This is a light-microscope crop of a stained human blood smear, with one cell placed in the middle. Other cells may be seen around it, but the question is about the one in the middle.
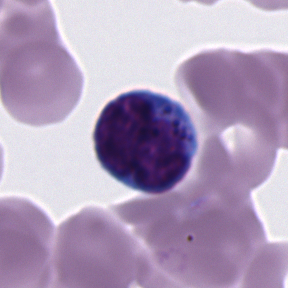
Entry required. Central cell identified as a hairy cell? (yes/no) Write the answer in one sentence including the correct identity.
No, the centered cell is a typical lymphocyte and not a hairy cell at all.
